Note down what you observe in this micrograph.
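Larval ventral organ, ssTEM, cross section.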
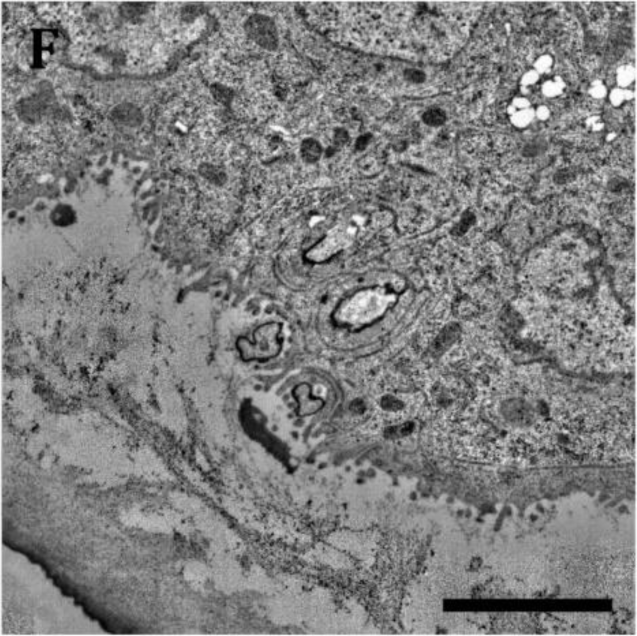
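Several dendrite profiles, each enclosed in a dark electron-dense sheath, lie grouped together in the middle. Around them the support cells wrap in thin concentric membrane lamellae. The surrounding epidermal cells hold many mitochondria and membranes and bear fine fingerlike projections along the border with the cuticle.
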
